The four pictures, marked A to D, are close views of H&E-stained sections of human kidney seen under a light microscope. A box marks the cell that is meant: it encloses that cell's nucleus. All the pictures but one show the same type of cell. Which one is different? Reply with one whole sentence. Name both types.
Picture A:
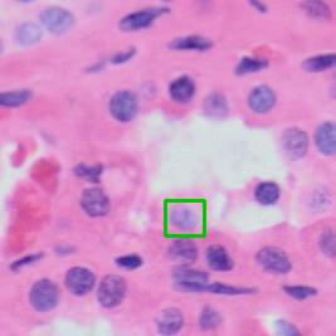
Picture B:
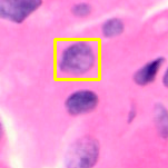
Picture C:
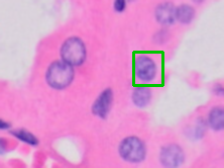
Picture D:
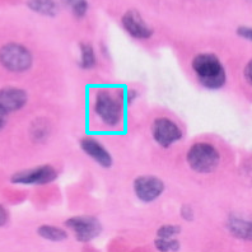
Picture C differs, because its cell is a collecting duct cell and the rest are “loop of Henle or distal tubule cells”.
